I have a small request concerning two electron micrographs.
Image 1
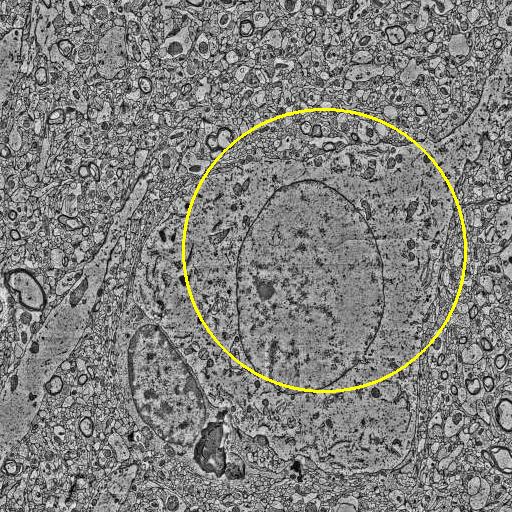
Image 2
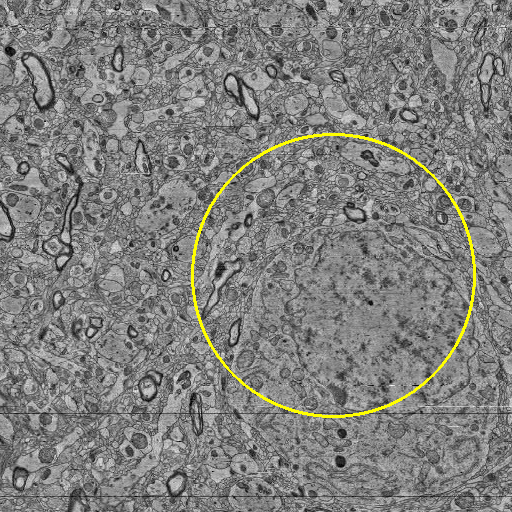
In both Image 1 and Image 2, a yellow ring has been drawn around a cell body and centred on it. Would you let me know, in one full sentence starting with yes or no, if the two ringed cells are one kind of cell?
No, the cells ringed in Image 1 and Image 2 are two kinds of cell.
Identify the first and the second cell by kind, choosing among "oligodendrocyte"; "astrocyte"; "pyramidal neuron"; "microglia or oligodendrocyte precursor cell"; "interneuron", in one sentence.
The one in the first picture is a pyramidal neuron, while the one in the second is an interneuron.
